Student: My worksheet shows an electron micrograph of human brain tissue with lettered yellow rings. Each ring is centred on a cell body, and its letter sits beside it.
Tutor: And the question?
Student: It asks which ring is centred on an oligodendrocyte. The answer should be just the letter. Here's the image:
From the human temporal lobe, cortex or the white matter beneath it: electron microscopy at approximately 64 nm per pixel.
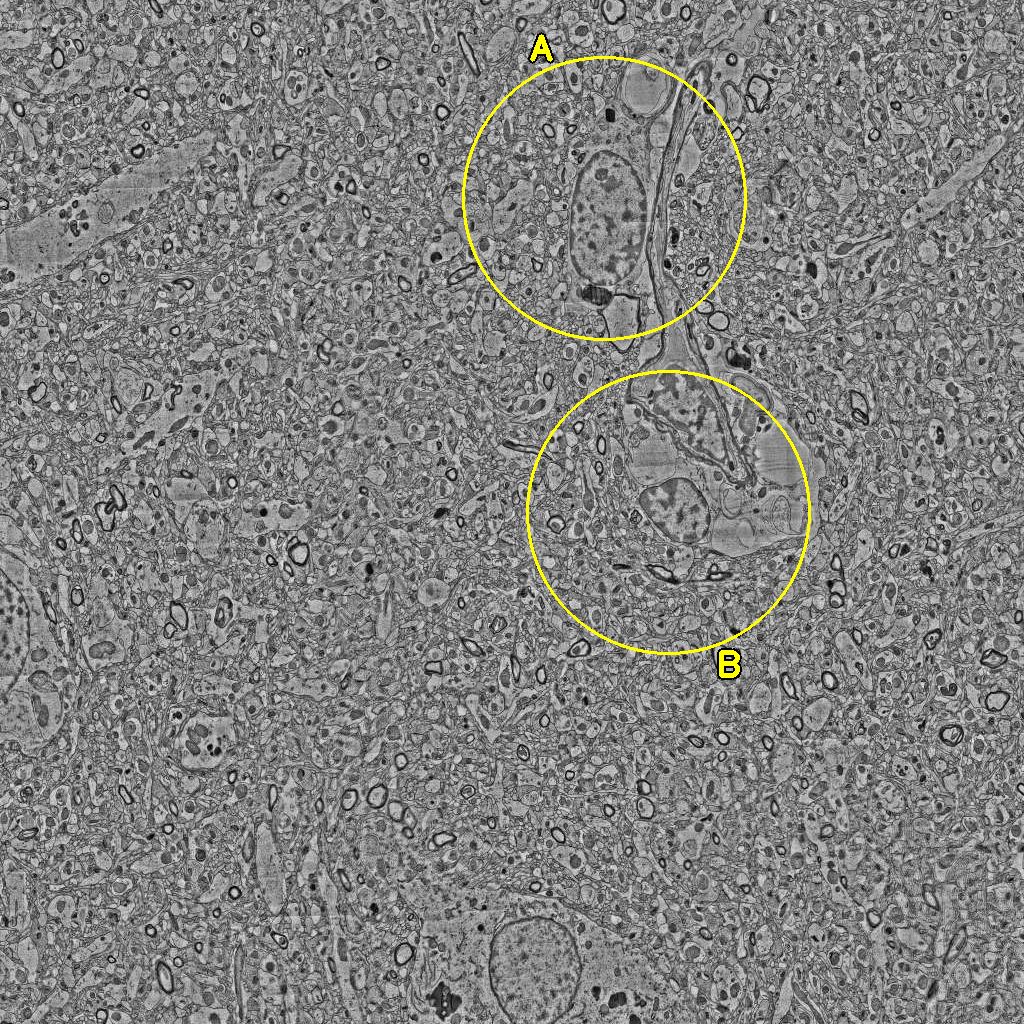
A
